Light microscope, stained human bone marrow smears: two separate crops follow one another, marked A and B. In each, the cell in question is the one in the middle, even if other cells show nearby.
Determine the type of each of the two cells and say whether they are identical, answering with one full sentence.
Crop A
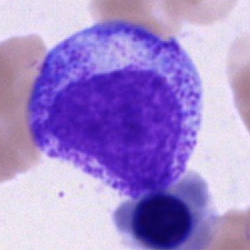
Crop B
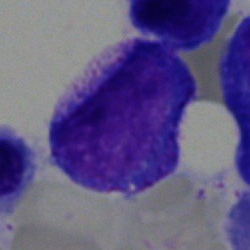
Yes, the middle cells in the two crops are promyelocytes.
